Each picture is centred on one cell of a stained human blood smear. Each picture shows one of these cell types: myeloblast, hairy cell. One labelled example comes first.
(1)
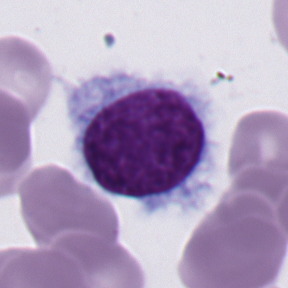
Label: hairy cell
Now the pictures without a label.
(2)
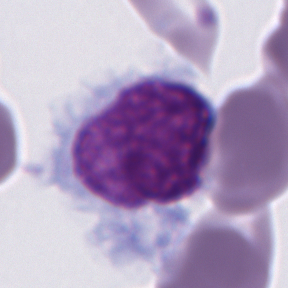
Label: hairy cell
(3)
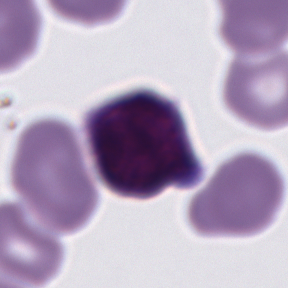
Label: myeloblast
